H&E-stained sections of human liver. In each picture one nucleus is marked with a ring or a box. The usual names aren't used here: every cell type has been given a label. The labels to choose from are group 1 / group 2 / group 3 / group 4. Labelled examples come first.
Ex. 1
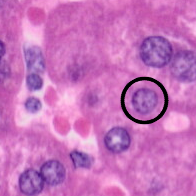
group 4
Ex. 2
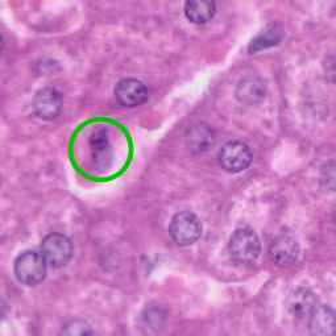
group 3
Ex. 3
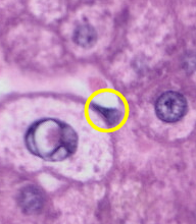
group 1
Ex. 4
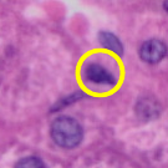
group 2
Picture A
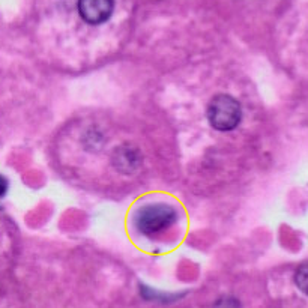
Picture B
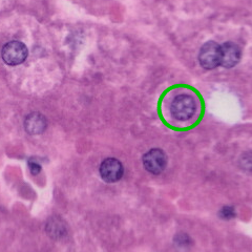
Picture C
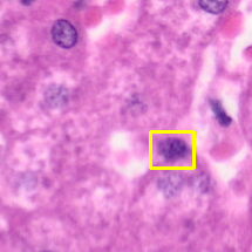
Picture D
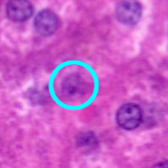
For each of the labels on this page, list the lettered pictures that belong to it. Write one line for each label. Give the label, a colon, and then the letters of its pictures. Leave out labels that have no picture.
group 1: A
group 2: C
group 4: B, D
